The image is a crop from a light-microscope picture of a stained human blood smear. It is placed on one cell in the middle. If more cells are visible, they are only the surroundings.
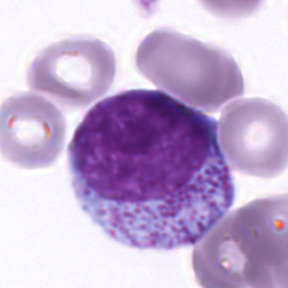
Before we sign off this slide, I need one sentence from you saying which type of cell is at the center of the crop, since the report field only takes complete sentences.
The cell shown in the center of this light-microscope crop is a promyelocyte.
